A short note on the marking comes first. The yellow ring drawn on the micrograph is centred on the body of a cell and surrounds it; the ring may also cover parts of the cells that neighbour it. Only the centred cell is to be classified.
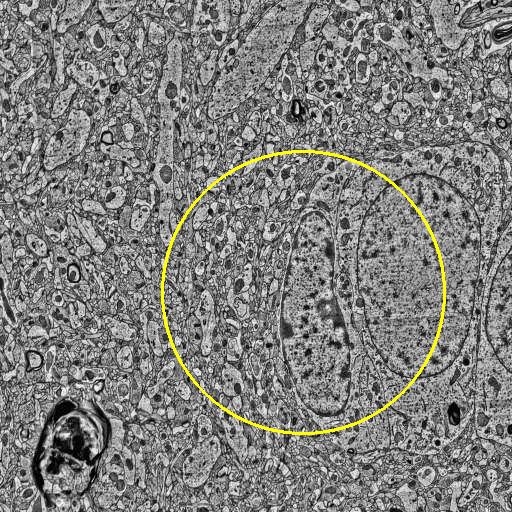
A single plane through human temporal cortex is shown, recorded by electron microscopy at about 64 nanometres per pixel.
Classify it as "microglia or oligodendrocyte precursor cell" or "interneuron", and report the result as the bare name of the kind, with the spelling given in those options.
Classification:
microglia or oligodendrocyte precursor cell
